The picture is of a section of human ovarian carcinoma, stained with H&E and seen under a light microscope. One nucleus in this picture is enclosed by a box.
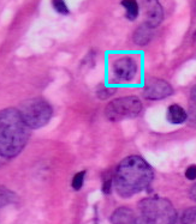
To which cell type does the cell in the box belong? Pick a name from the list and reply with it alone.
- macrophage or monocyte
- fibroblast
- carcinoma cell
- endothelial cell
macrophage or monocyte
